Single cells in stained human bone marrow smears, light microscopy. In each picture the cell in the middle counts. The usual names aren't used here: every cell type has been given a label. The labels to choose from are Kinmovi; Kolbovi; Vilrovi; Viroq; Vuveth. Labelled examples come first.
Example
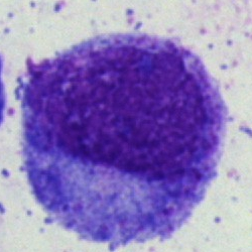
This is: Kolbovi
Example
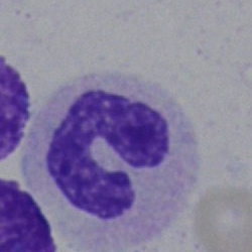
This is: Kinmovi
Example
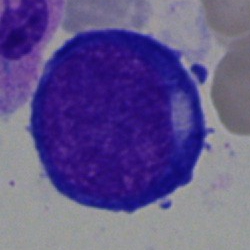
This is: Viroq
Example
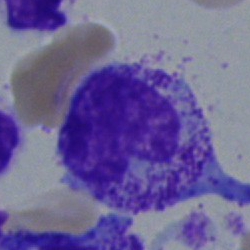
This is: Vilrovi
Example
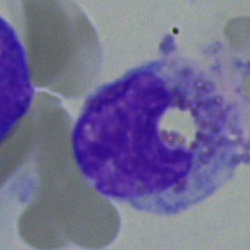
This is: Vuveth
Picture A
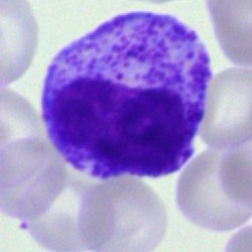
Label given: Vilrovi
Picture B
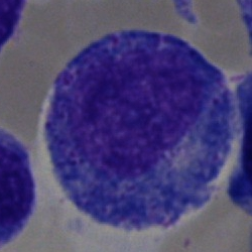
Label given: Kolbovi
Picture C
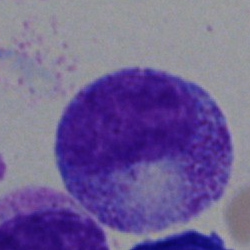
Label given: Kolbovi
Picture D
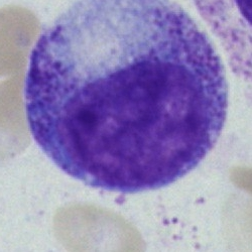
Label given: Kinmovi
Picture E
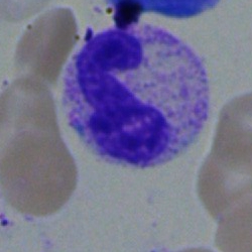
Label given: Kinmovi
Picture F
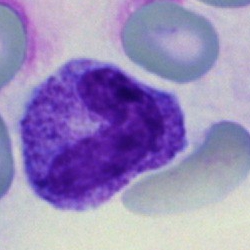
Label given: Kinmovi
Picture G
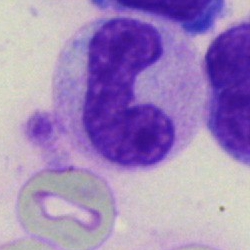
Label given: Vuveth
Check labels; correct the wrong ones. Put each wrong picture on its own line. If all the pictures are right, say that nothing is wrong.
Wrong: D (Kinmovi); correct: Kolbovi
Wrong: G (Vuveth); correct: Kinmovi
